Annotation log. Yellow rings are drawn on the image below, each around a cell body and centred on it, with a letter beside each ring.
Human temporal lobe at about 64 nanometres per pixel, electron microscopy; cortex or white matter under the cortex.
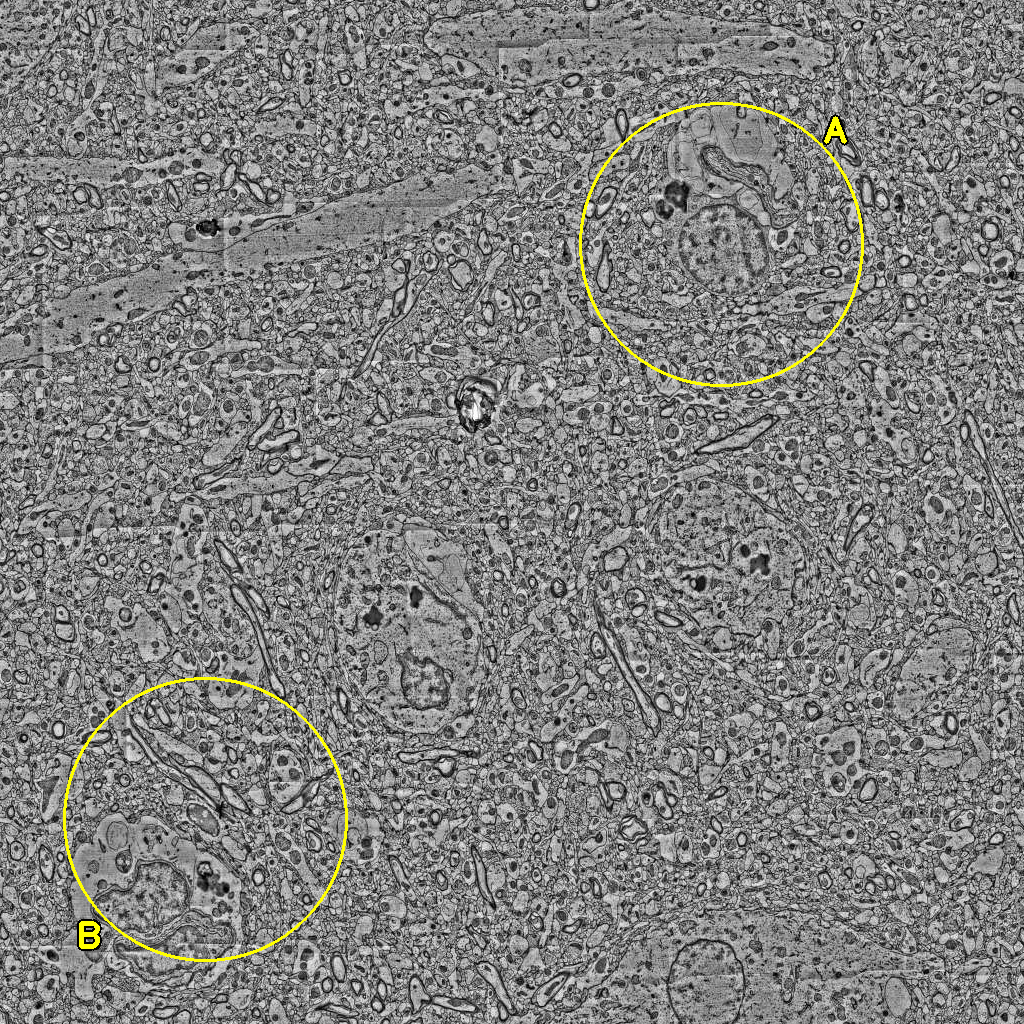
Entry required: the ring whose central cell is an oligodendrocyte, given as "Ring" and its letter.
Ring A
